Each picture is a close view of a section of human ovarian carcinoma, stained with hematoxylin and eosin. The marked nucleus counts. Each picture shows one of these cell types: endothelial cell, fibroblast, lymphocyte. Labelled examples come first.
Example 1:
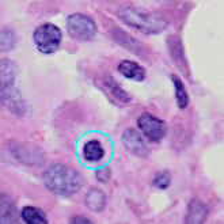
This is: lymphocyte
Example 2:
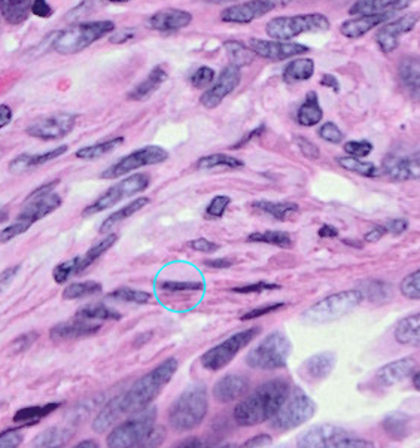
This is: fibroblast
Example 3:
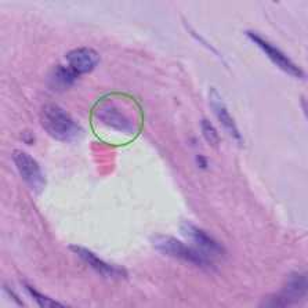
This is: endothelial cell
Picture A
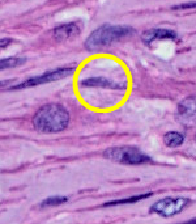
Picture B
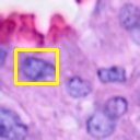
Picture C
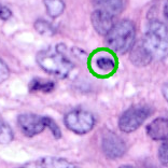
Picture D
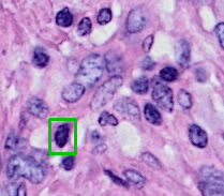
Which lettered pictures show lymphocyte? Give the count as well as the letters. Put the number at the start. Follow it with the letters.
2, namely C, D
